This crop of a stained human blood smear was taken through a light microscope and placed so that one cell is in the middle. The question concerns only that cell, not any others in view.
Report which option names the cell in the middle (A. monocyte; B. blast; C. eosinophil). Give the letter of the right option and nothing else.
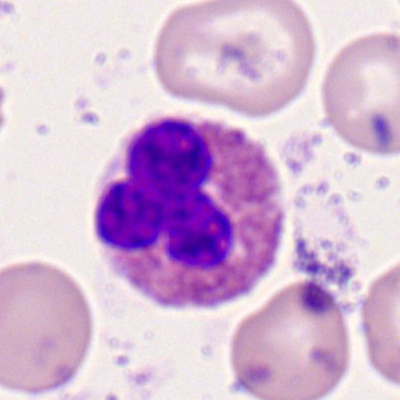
C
